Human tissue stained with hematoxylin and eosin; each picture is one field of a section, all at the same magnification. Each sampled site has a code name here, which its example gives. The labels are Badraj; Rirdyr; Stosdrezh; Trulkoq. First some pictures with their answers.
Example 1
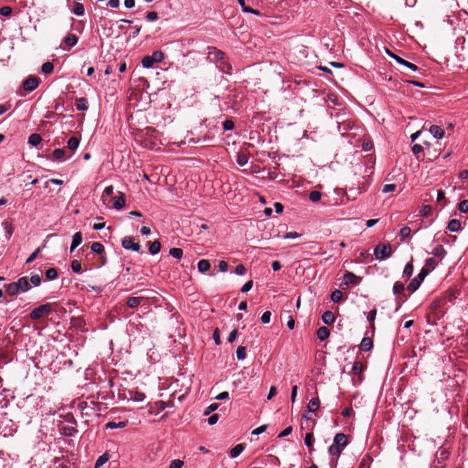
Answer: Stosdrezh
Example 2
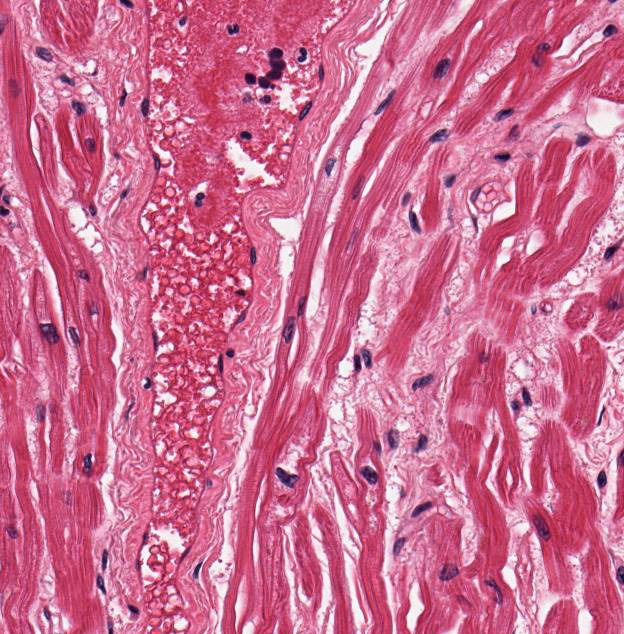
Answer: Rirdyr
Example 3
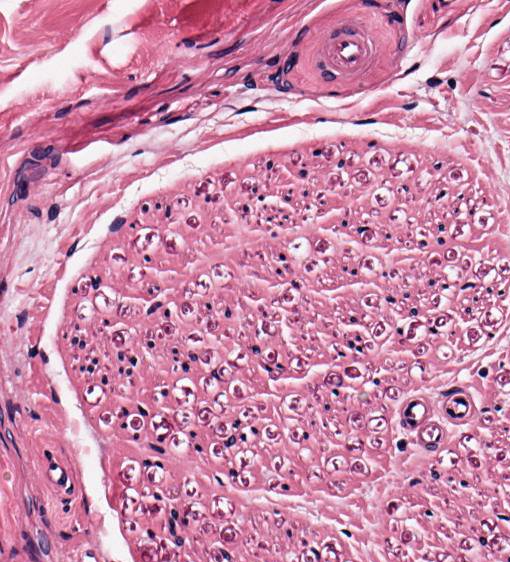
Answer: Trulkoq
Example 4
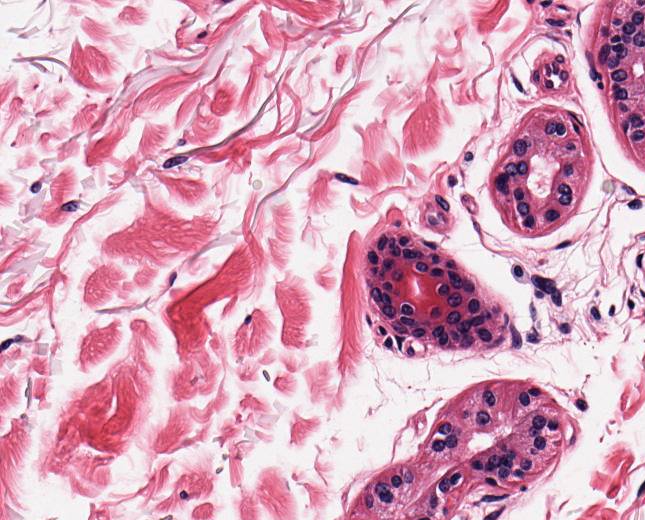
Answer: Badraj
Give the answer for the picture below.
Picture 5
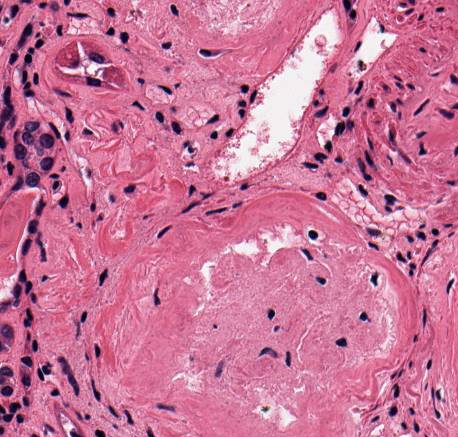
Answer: Stosdrezh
